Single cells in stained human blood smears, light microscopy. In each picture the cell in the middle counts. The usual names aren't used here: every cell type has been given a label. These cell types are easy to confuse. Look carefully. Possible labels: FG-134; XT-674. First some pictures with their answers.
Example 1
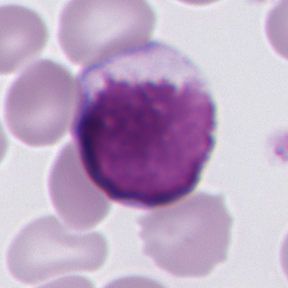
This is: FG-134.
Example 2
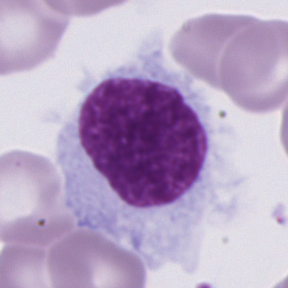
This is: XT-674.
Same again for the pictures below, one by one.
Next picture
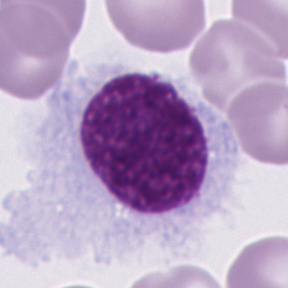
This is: XT-674.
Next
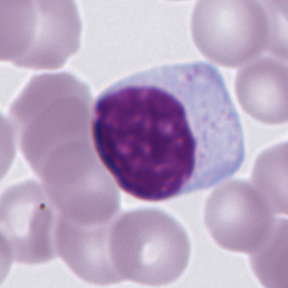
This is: FG-134.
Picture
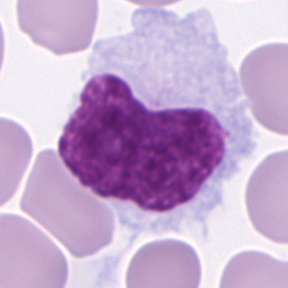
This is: XT-674.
